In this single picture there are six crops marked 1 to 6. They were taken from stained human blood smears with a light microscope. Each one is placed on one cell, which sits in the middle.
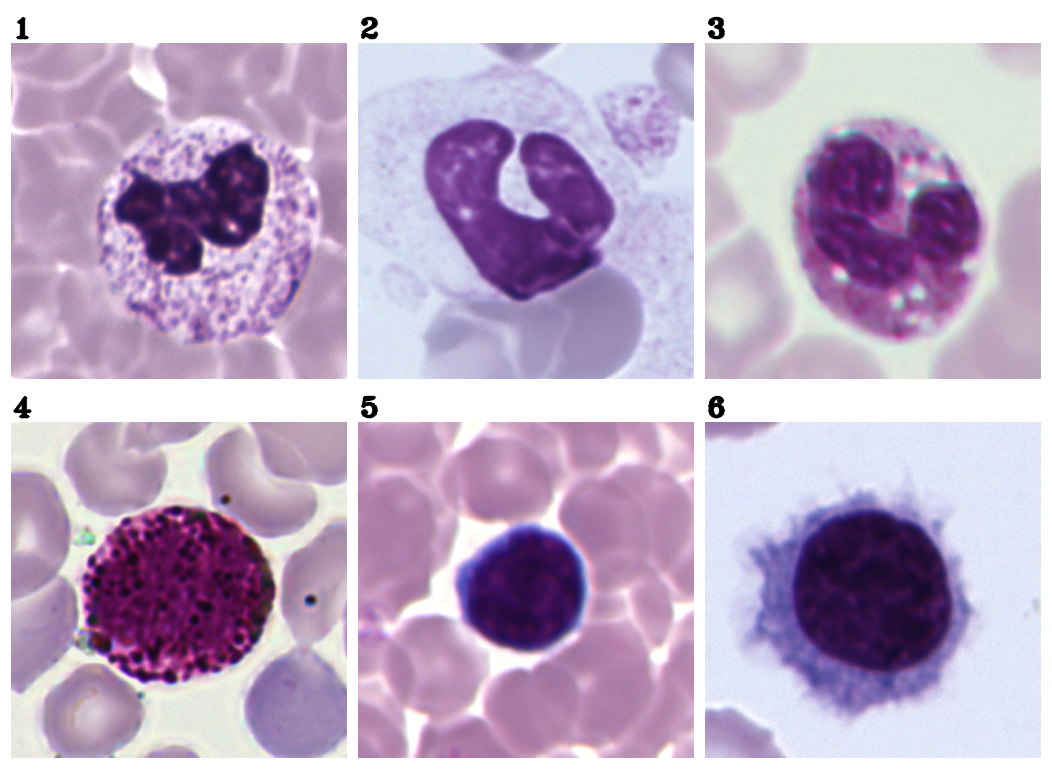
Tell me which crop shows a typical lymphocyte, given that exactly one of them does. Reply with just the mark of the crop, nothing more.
5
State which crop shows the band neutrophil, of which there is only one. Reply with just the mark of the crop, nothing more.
2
